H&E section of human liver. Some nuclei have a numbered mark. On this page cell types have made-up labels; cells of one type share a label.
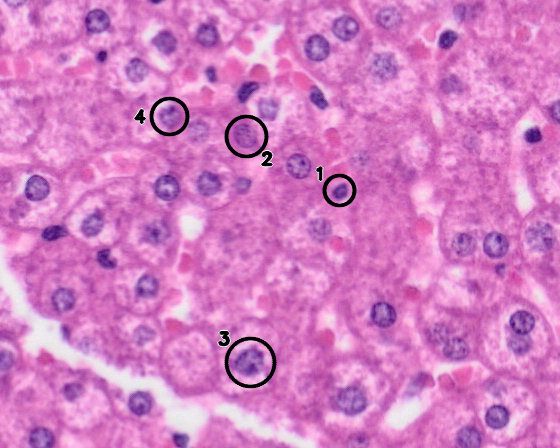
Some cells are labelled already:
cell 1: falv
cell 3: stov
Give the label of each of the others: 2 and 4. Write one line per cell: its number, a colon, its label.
2: stov
4: stov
